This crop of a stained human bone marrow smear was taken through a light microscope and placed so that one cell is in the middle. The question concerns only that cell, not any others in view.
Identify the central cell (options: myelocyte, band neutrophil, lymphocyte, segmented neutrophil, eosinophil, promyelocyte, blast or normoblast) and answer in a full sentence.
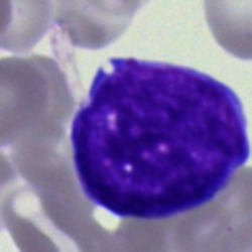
Here the centrally located cell is a blast.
